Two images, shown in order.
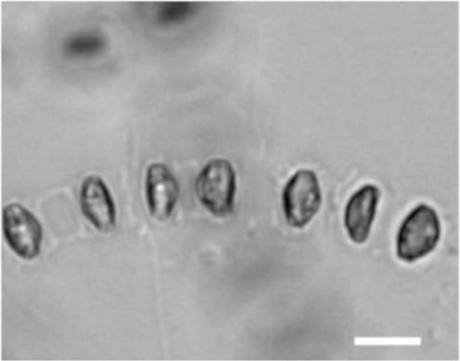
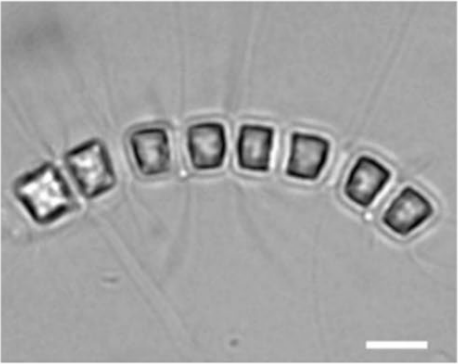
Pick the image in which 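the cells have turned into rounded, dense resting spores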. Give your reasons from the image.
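First image: the cells of the chain are oval, dark bodies lying within faint pale frames. Second image: the cells are boxy, rectangular and fill their walls, with clear bristles. That points to this answer: the first image.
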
